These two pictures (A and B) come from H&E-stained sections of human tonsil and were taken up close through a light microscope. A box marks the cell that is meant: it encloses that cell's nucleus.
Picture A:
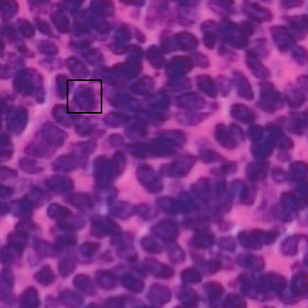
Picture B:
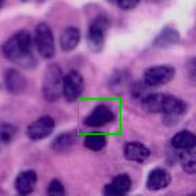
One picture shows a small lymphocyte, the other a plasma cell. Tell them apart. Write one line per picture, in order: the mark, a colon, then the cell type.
A: small lymphocyte
B: plasma cell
